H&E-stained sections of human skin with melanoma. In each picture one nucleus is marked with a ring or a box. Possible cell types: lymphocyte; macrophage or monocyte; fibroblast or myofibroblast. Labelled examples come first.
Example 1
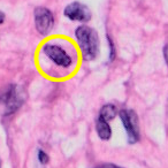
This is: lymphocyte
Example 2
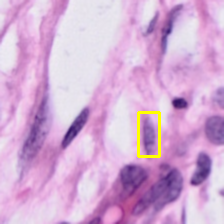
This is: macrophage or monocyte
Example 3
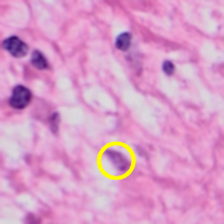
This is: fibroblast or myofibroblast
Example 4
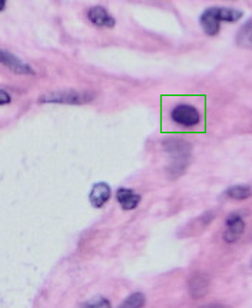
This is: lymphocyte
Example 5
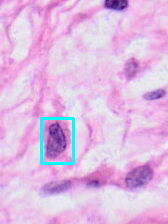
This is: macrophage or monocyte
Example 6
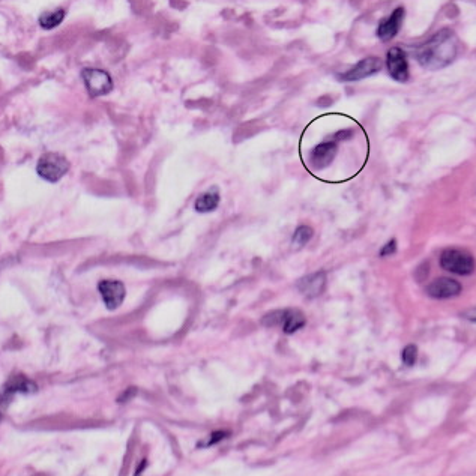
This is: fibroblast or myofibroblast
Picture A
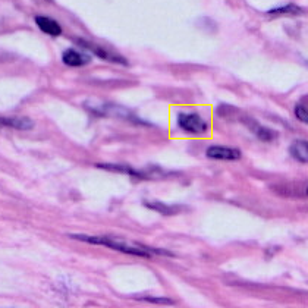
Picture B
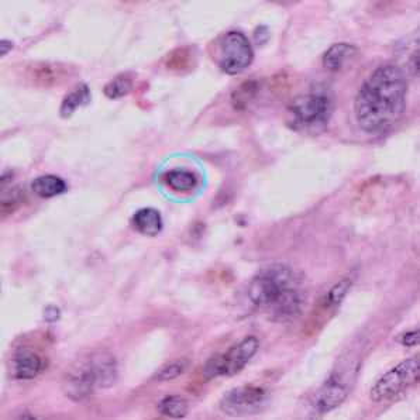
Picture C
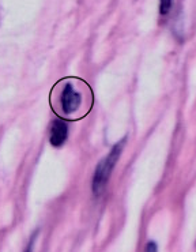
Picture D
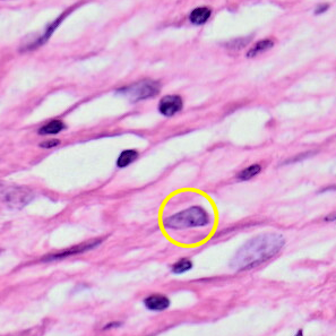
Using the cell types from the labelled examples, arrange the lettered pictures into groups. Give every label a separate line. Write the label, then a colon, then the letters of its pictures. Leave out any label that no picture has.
lymphocyte: A, C
macrophage or monocyte: B
fibroblast or myofibroblast: D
